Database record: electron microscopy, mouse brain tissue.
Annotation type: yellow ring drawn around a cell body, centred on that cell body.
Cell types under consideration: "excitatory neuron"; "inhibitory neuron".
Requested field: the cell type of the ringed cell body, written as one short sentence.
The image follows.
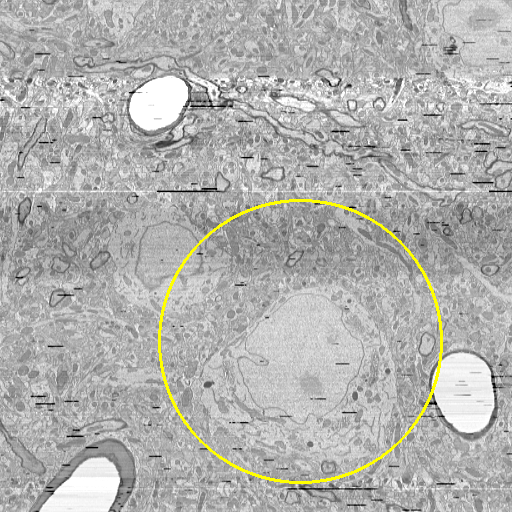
The ringed cell body represents an excitatory neuron.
